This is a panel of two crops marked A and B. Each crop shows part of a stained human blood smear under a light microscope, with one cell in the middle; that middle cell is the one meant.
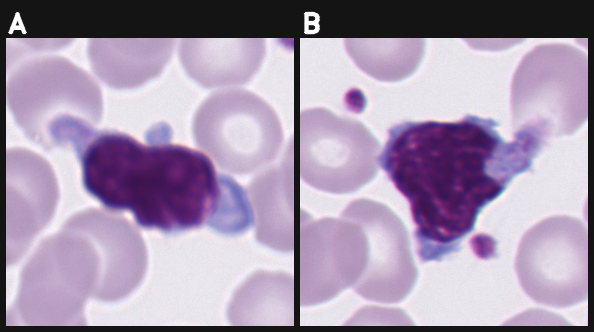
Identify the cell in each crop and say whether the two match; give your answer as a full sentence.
Yes, both crops have typical lymphocytes as their central cells.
